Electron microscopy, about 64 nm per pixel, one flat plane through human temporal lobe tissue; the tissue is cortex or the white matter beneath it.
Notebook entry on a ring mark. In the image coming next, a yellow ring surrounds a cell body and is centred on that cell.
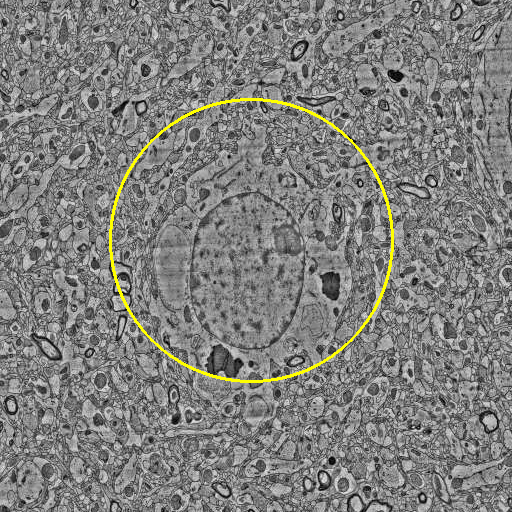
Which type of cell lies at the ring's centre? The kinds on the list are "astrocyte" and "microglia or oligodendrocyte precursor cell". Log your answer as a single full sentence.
Centred in the yellow ring is an astrocyte, the cell recorded for this image.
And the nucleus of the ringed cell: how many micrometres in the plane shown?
Roughly 10 micrometres by 7 micrometres, in this plane.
